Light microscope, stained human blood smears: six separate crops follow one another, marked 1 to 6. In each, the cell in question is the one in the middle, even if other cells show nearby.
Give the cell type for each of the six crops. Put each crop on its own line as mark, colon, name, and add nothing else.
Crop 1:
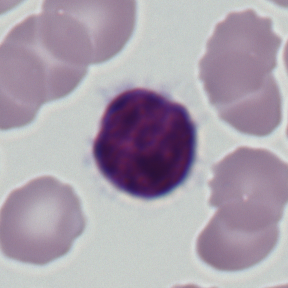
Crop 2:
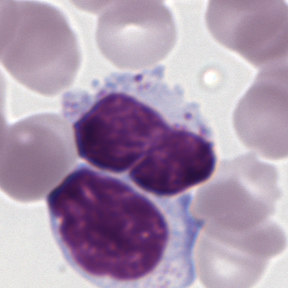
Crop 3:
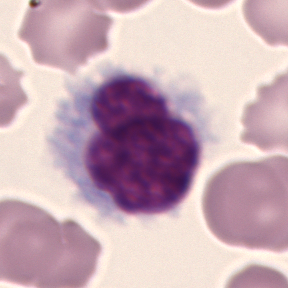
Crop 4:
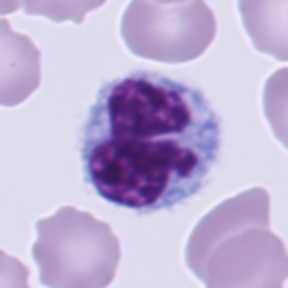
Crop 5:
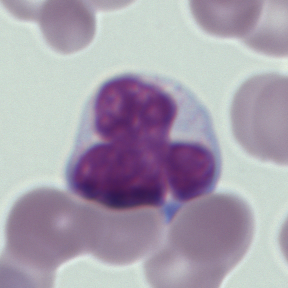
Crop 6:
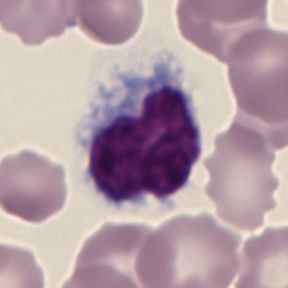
1: hairy cell
2: large granular lymphocyte
3: hairy cell
4: hairy cell
5: large granular lymphocyte
6: hairy cell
